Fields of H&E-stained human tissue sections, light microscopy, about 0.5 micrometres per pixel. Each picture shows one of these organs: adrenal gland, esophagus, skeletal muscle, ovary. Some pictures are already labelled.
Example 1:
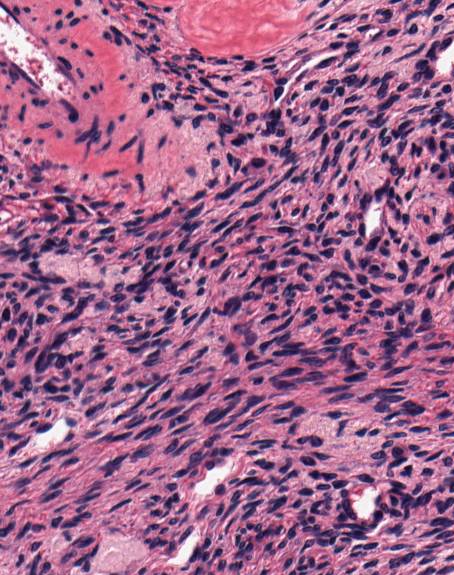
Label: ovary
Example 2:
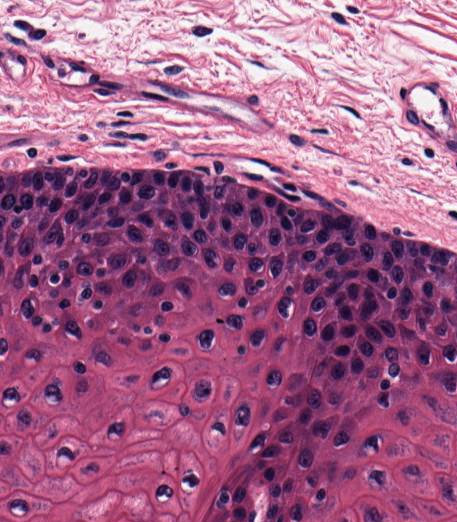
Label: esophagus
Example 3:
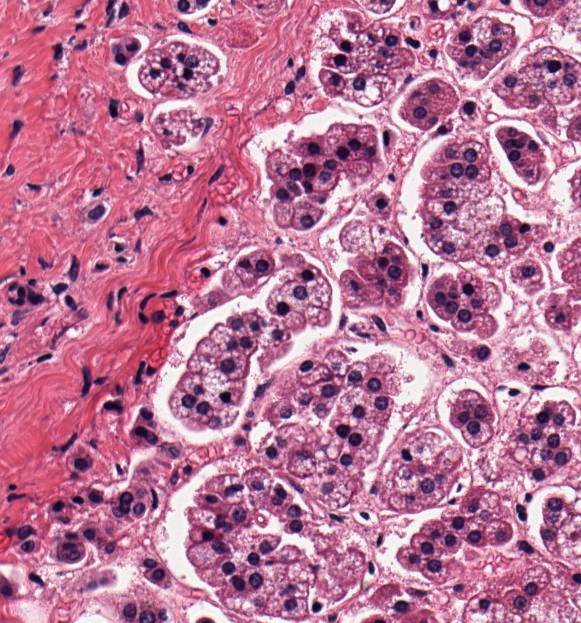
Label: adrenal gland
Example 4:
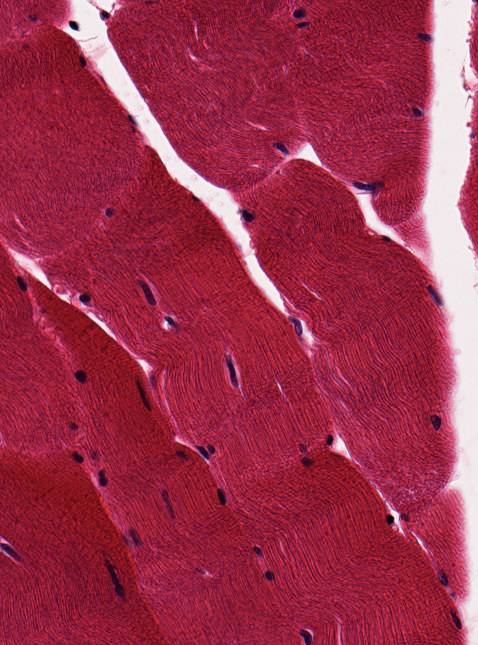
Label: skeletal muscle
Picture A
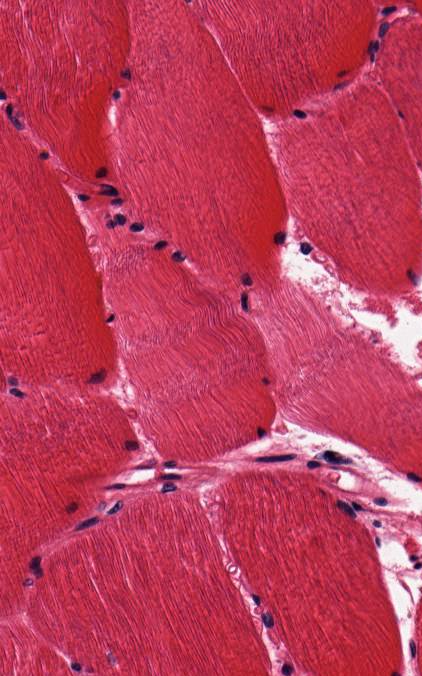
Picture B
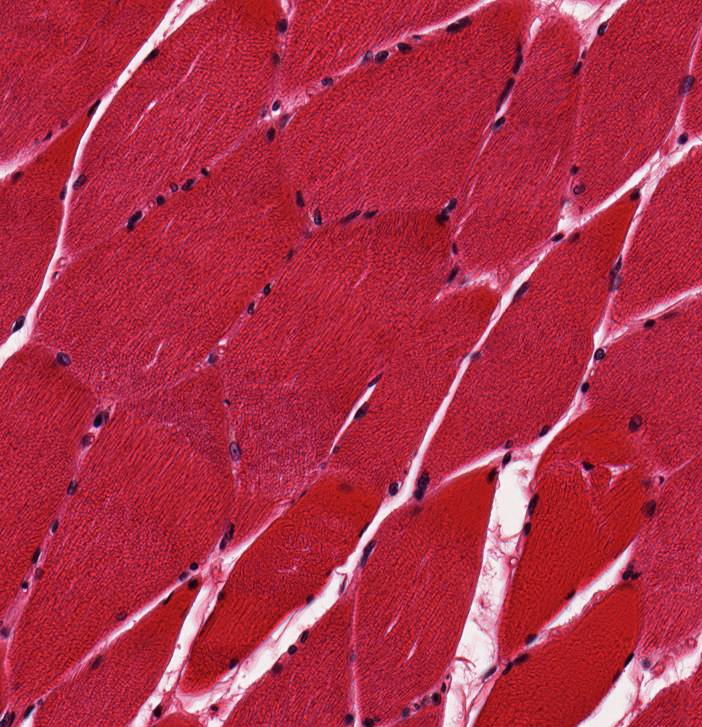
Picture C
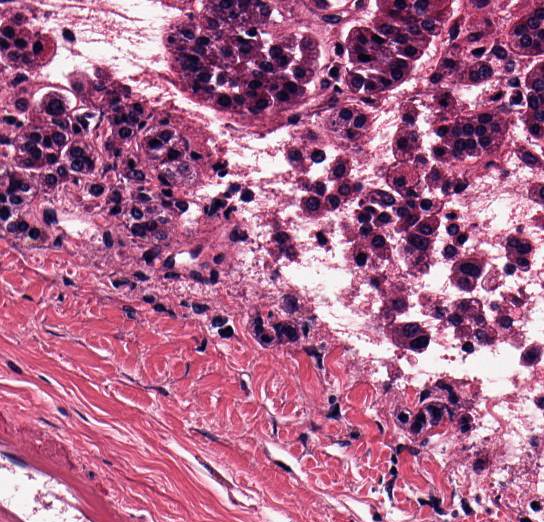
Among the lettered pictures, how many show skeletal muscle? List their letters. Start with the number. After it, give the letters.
2: A, B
